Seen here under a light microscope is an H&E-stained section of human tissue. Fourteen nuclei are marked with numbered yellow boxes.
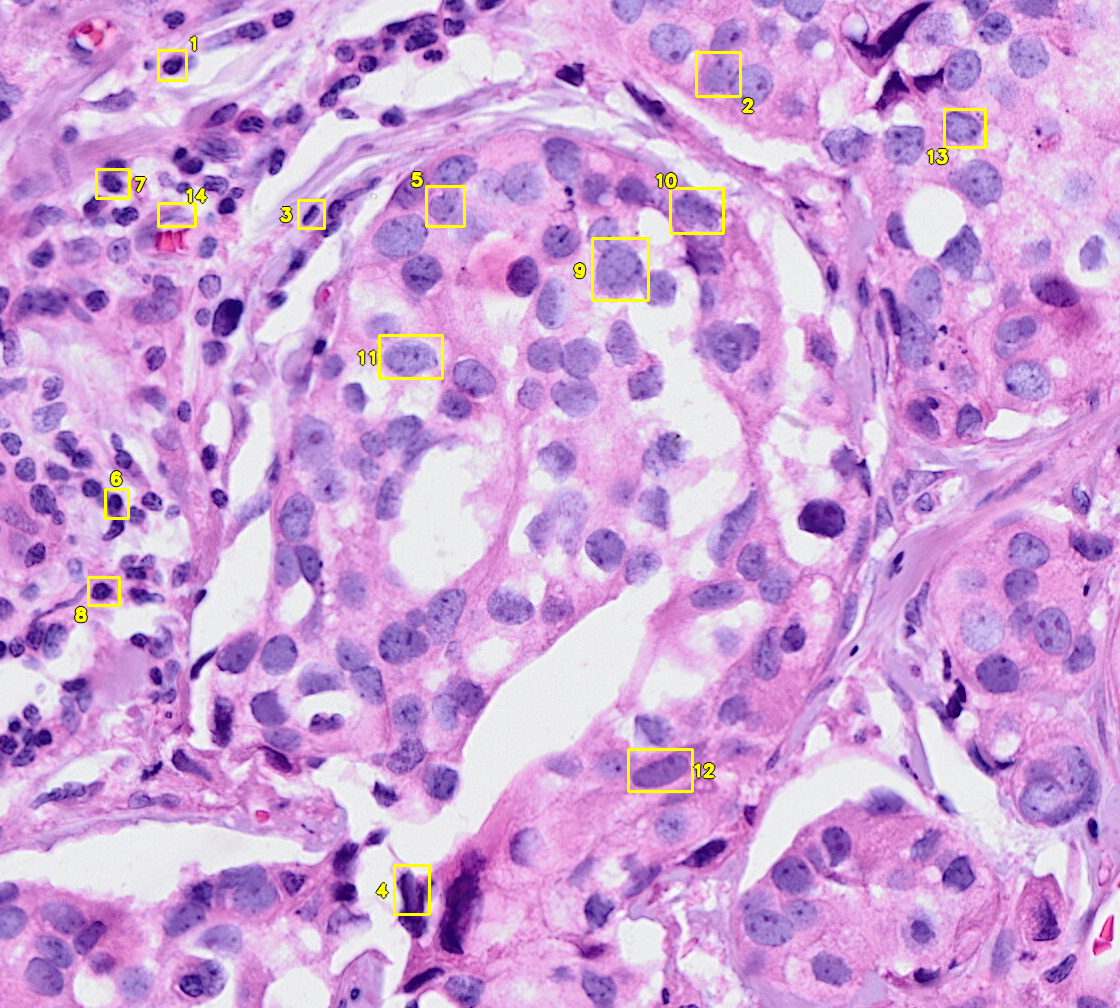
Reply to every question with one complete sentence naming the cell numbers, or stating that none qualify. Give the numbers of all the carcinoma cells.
The cells identified by the numbers 2, 4, 5, 9, 10, 11, 12 and 13 are carcinoma cells.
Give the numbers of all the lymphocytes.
Into the category of lymphocytes fall the cells numbered 1, 3, 6, 7 and 8.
